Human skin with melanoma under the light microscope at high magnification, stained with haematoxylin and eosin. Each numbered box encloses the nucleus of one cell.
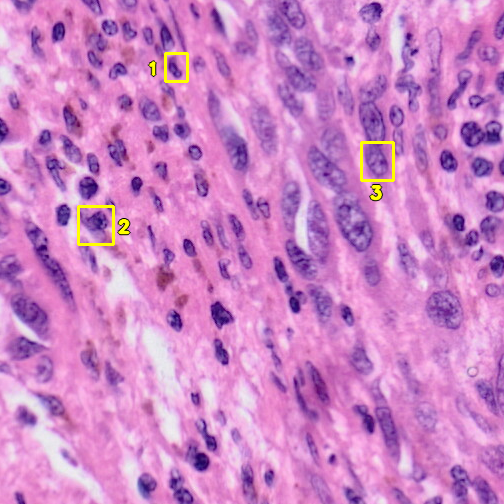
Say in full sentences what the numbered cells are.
Cell 1 is a lymphocyte, cell 2 is a plasma cell and cell 3 is a melanoma cell.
